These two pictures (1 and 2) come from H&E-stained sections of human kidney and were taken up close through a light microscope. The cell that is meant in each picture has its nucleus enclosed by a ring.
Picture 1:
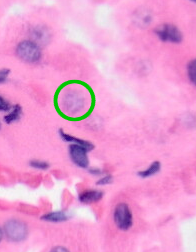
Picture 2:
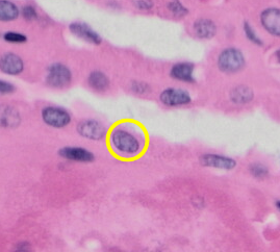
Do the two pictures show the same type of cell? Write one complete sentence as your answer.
No; the cell in picture 1 is a proximal tubule cell, while the one in picture 2 is a “loop of Henle or distal tubule cell”.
